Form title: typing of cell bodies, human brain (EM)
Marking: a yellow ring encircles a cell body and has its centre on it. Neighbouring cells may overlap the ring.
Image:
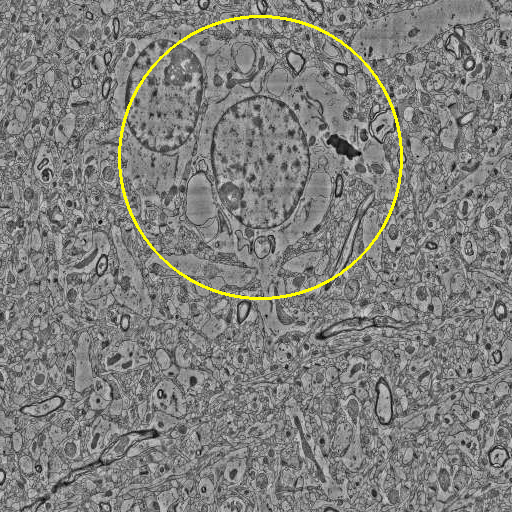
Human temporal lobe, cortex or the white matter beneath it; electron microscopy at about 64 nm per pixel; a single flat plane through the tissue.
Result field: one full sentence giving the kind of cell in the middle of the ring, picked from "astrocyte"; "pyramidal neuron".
In the picture, the ring is centred on an astrocyte, whose cell body it encircles.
